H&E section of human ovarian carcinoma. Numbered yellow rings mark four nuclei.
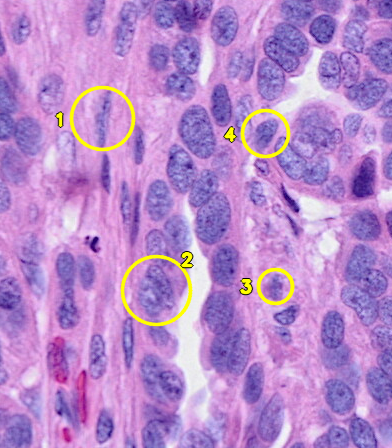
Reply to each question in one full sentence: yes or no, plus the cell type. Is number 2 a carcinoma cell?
Yes, that is right: the cell labelled 2 is a carcinoma cell.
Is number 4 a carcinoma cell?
Yes, so the cell at label 4 is a carcinoma cell.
